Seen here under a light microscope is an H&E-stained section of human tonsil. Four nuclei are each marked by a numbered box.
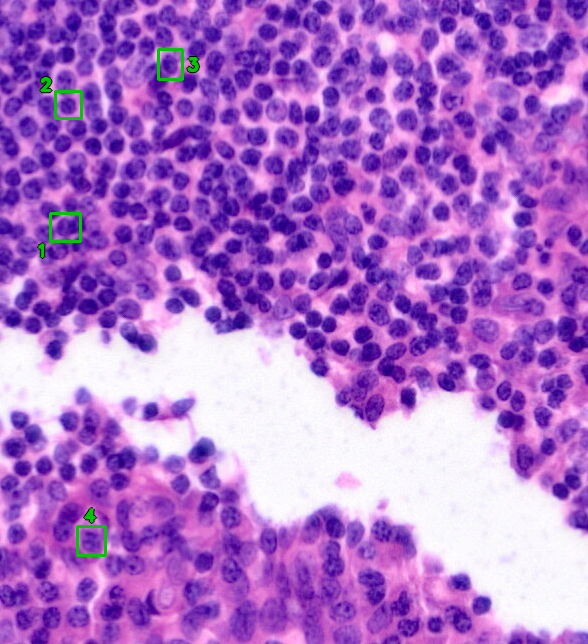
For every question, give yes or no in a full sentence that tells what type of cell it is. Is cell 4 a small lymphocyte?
No, the cell given the number 4 is a plasma cell, so not a small lymphocyte.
